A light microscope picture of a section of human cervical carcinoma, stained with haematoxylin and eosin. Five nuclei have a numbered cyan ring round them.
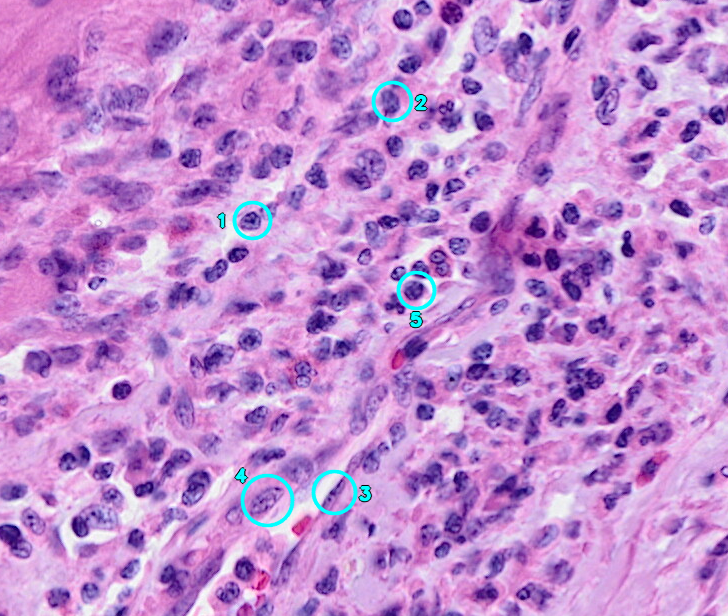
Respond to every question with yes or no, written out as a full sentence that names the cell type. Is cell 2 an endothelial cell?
No, what number 2 shows is a lymphocyte, not an endothelial cell.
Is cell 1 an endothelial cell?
No, cell 1 is correctly identified as a lymphocyte and not as an endothelial cell.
